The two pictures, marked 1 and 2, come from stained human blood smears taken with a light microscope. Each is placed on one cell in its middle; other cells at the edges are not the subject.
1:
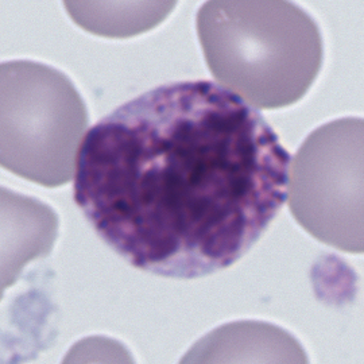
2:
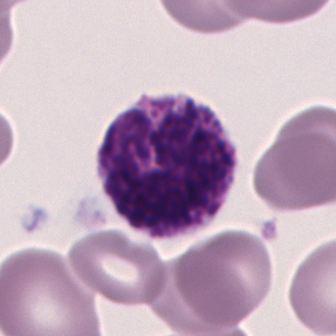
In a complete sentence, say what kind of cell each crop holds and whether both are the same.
Yes, what both crops show is basophils.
